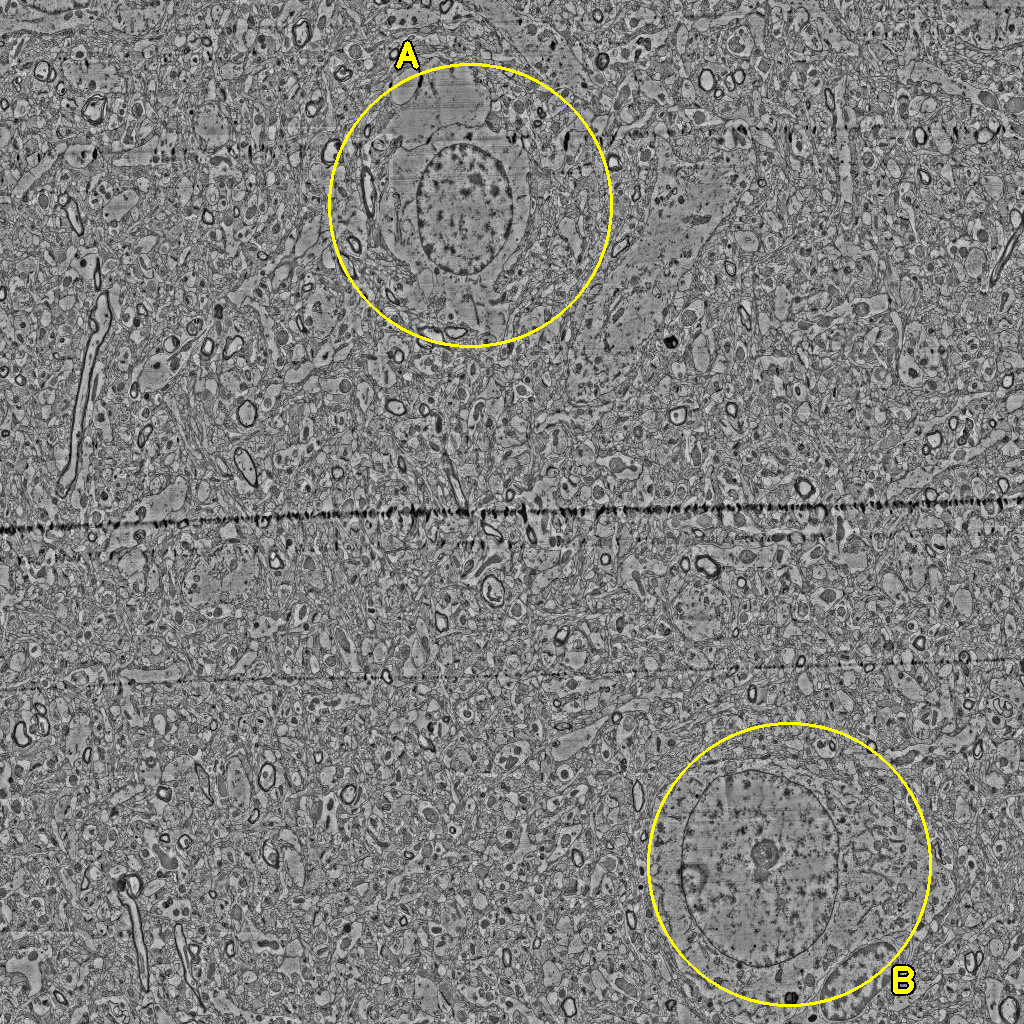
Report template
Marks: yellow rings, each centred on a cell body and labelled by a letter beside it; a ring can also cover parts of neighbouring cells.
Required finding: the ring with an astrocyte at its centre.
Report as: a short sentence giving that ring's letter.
Ring A holds that cell at its centre.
